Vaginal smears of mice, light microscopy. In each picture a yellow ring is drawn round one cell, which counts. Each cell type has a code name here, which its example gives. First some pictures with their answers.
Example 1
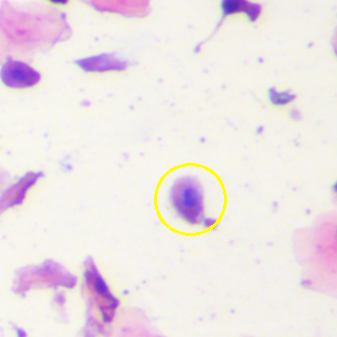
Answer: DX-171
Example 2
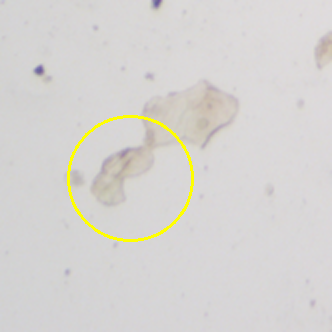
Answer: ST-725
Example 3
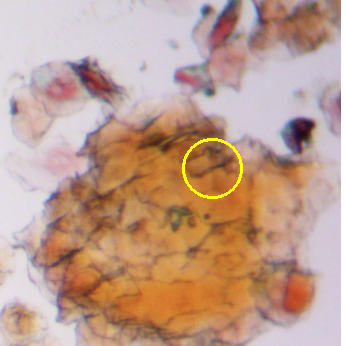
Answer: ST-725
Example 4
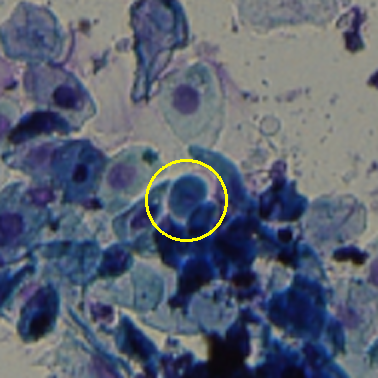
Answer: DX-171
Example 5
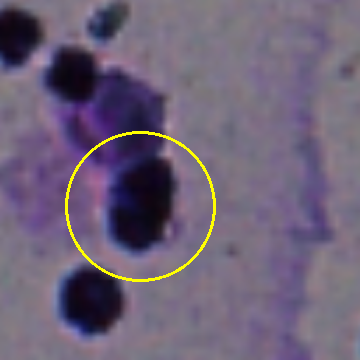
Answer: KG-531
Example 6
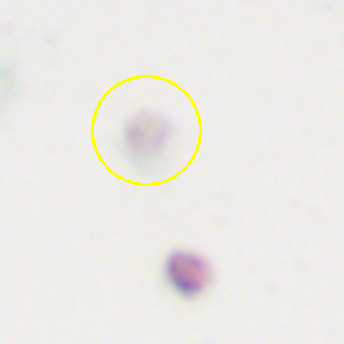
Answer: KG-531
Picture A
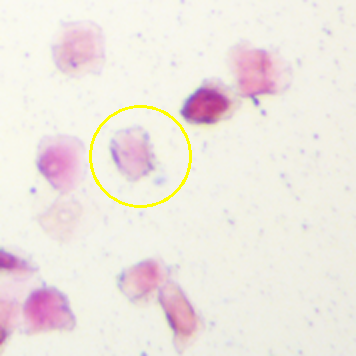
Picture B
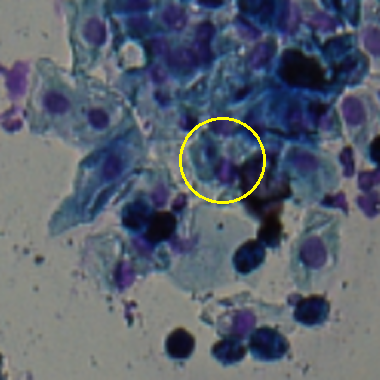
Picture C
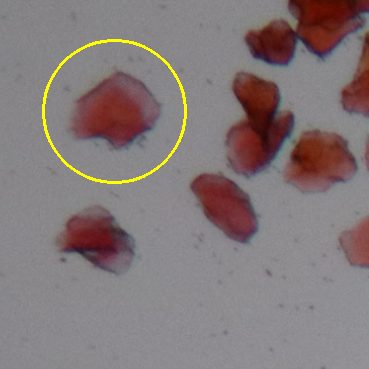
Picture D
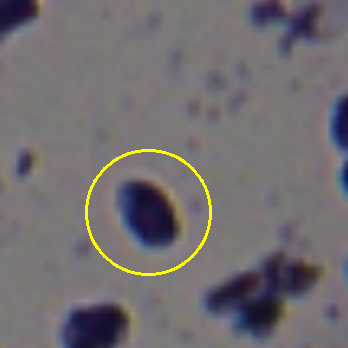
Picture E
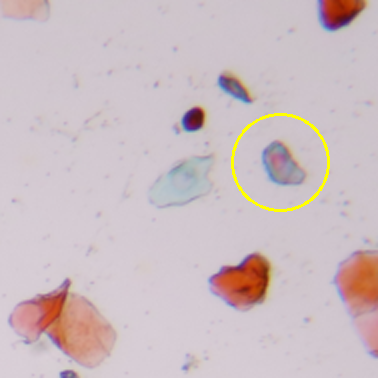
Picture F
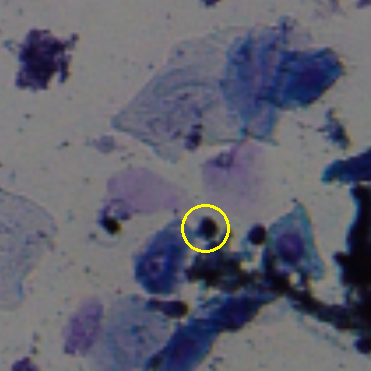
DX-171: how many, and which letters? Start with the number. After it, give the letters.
2, namely B, E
